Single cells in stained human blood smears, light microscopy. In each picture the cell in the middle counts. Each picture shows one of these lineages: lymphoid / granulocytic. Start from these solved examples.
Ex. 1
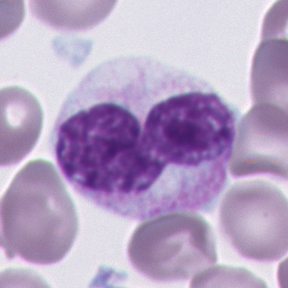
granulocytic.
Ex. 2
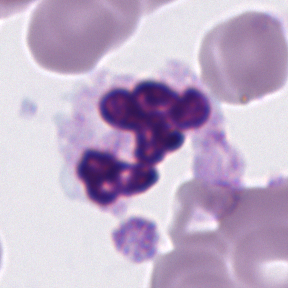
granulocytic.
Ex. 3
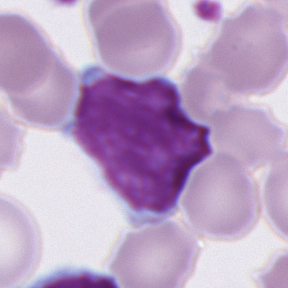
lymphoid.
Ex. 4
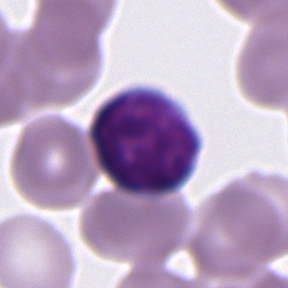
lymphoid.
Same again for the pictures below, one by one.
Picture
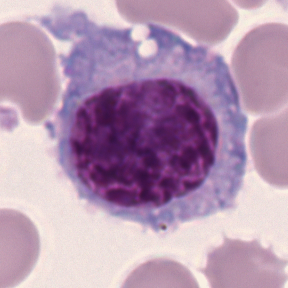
lymphoid.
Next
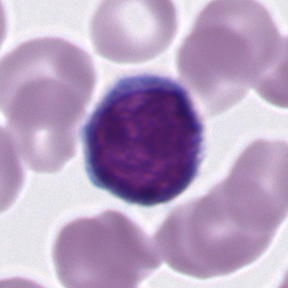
lymphoid.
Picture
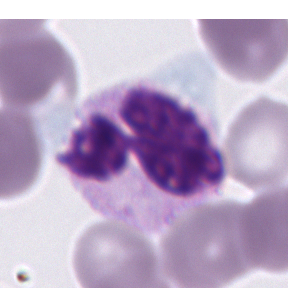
granulocytic.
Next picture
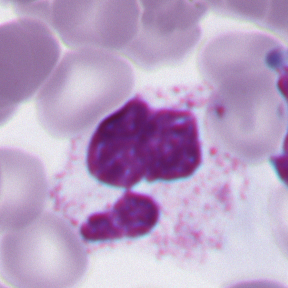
granulocytic.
